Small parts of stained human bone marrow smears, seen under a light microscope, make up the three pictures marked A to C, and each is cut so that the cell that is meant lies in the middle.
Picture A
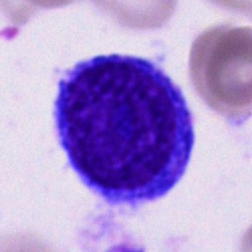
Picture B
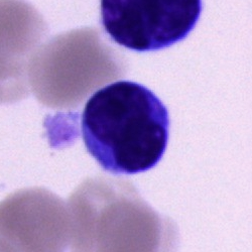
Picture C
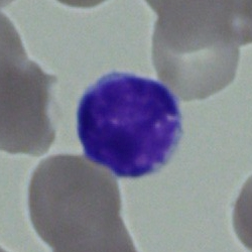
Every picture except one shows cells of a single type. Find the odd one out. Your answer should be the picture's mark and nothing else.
A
